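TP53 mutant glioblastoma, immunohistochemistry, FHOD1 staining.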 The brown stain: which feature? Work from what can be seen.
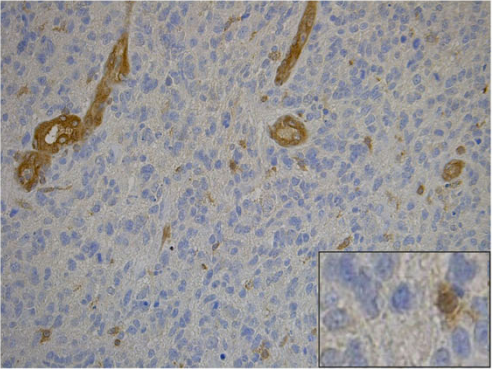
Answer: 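Tumour vessel walls. Brown stain outlines tubular and ring-shaped structures with a lumen. Most surrounding cells have blue nuclei without brown stain.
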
